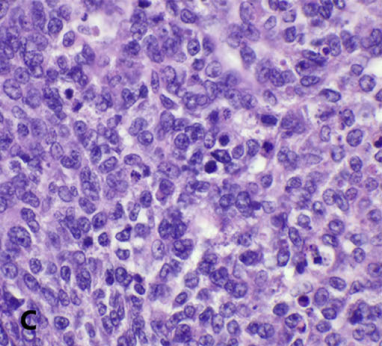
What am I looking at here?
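Sheets of tumor cells fill the field, with round-to-oval shapes and lightly pink cytoplasm. Their nuclei are vesicular, with pale open chromatin and small nucleoli, and a few dark condensed mitotic figures are scattered among them.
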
